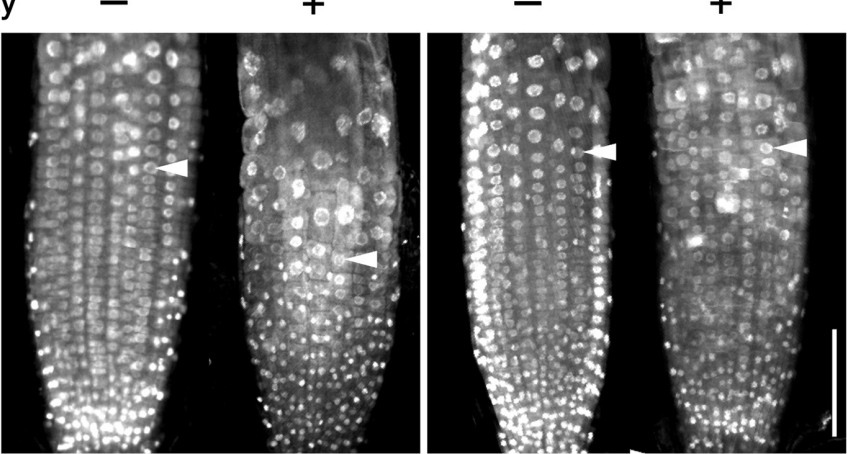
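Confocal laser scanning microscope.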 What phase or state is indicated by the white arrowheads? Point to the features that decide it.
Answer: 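First endoreplicated nuclei. Nuclei near the tip are small and densely packed. Nuclei farther from the tip, at and beyond the arrowheads, are visibly larger.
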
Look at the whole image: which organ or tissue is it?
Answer: Roots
